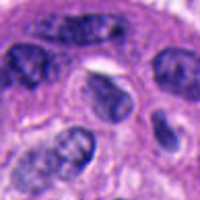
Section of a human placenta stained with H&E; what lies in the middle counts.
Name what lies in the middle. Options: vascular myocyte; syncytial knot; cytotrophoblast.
cytotrophoblast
